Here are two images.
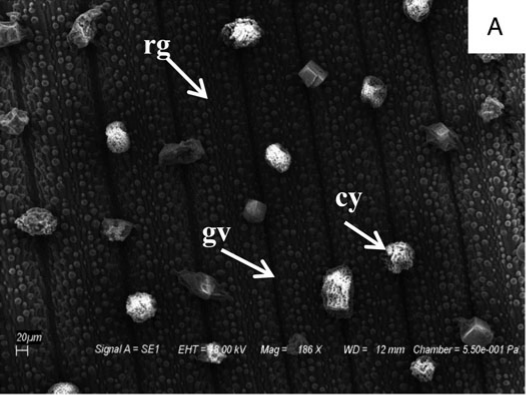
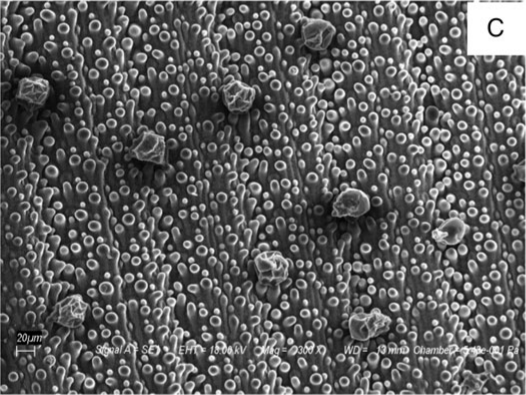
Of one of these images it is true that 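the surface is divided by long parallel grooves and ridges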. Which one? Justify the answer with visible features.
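First image: long, dark, roughly parallel furrows run across the surface, separating raised bands.
Conclusion: the first image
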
